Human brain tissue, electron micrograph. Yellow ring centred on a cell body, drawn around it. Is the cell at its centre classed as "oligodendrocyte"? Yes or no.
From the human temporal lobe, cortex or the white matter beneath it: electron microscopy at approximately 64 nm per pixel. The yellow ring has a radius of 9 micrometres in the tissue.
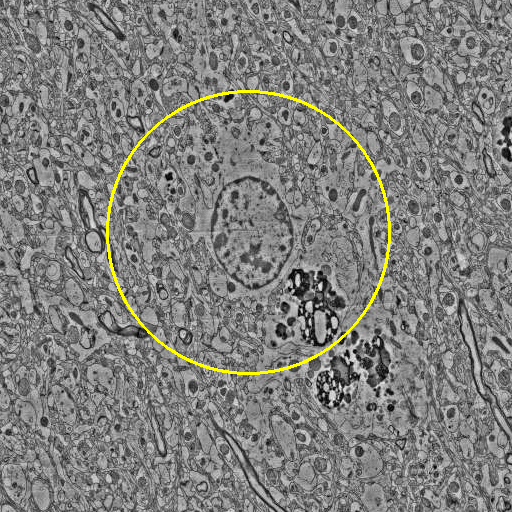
No, it is classed as another kind.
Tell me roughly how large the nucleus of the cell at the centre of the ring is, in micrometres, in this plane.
The nucleus works out at approximately 7 by 5 micrometres in this plane.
